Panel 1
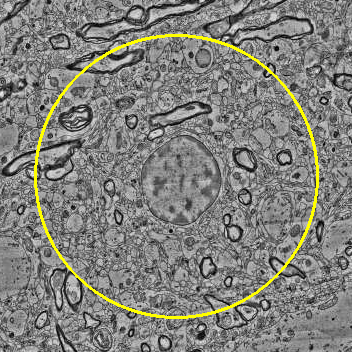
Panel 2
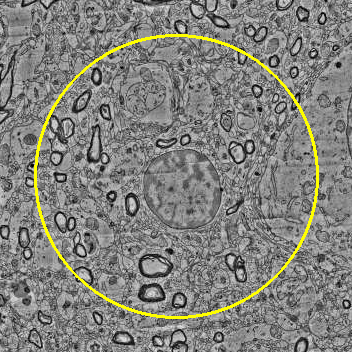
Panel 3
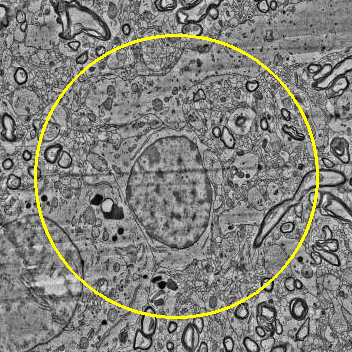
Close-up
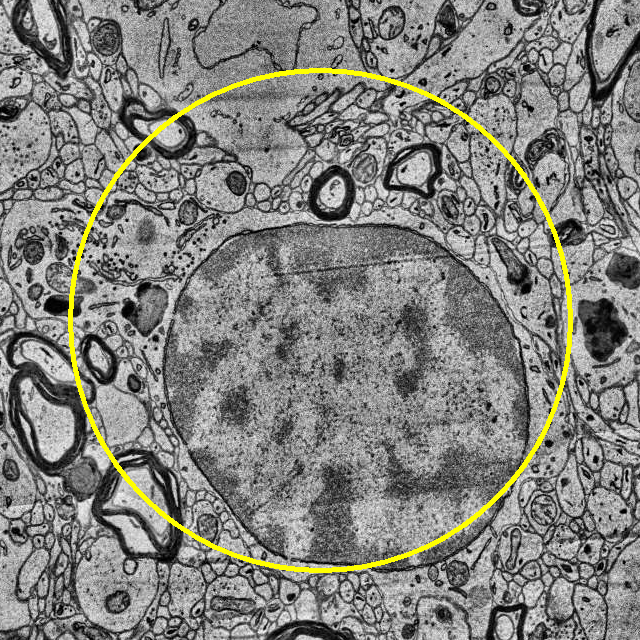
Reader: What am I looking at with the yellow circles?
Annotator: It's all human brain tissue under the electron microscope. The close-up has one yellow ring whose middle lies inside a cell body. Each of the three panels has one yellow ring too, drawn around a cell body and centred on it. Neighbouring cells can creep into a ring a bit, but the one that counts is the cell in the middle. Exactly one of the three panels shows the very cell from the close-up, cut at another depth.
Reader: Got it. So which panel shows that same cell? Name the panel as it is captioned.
Panel 2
